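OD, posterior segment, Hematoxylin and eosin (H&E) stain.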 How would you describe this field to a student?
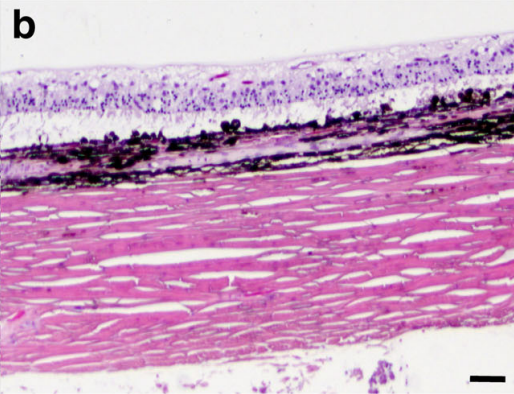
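The retina is thinned but retains a band of densely packed purple nuclei, while the inner layers are reduced and no clear separation of distinct nuclear rows is seen. Below it lies a pale zone and then a dark band of brown-black pigmented cells. Thick pink sclera of parallel collagen bundles forms the deepest layer.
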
